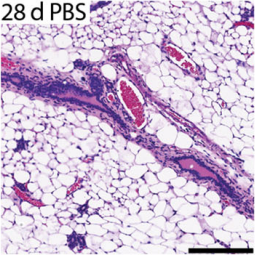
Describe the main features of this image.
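A mammary gland section in which a duct lined by densely purple-stained epithelial cells runs diagonally through fatty stroma made of large, clear adipocytes. Beside the duct lies a blood vessel packed with red-stained red blood cells, and smaller vessels are scattered in the surrounding fat.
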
